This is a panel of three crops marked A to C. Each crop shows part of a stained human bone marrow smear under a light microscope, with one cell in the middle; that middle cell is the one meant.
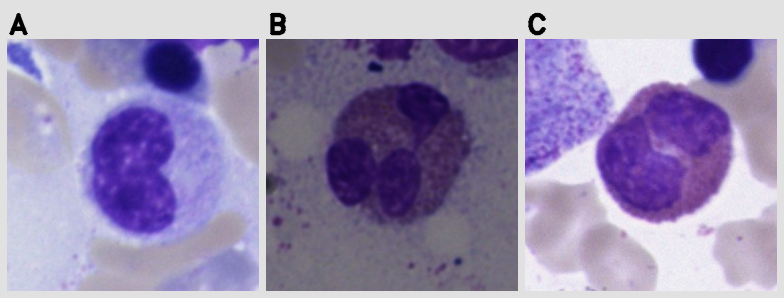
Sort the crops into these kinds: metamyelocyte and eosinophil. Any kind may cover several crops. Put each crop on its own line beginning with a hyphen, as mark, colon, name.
- A: metamyelocyte
- B: eosinophil
- C: eosinophil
